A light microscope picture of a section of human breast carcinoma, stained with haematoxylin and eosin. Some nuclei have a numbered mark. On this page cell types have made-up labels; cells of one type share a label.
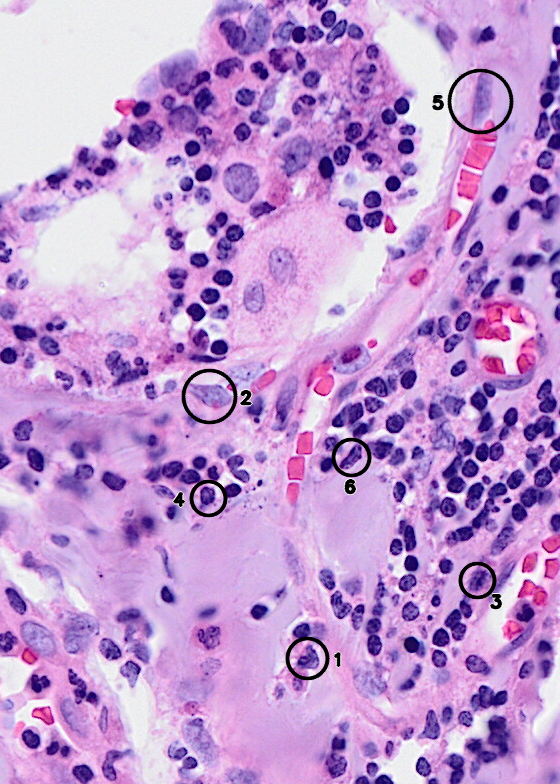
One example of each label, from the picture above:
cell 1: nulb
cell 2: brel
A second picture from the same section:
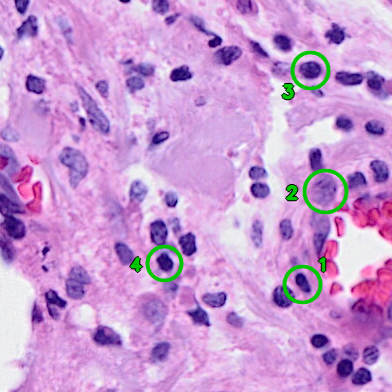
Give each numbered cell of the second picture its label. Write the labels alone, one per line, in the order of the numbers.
nulb
brel
nulb
nulb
